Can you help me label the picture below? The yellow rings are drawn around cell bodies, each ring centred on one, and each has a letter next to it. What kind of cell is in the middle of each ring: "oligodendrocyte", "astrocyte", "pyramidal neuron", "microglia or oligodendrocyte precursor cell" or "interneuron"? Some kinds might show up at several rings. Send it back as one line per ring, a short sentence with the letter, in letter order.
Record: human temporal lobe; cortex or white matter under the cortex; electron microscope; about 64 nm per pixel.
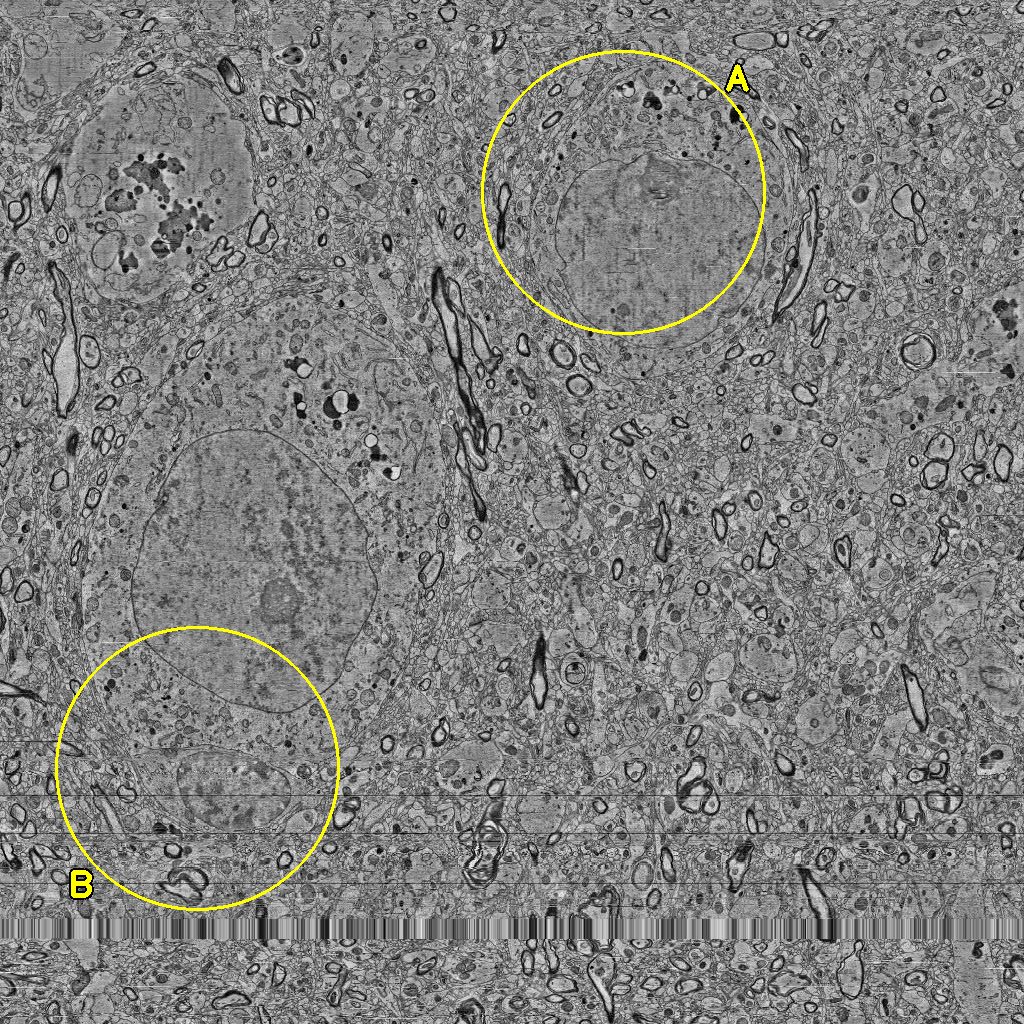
Ring A has a pyramidal neuron in the middle.
Ring B has an oligodendrocyte in the middle.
